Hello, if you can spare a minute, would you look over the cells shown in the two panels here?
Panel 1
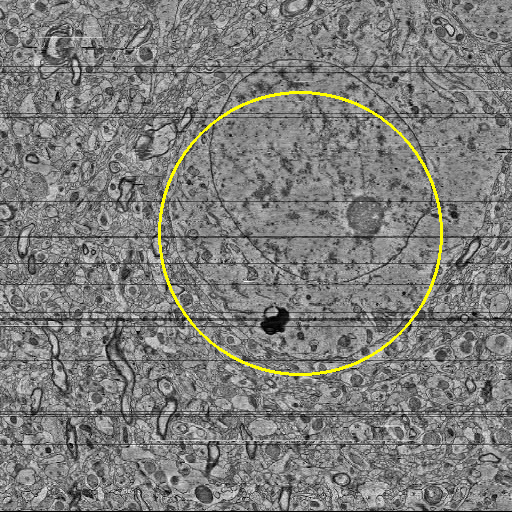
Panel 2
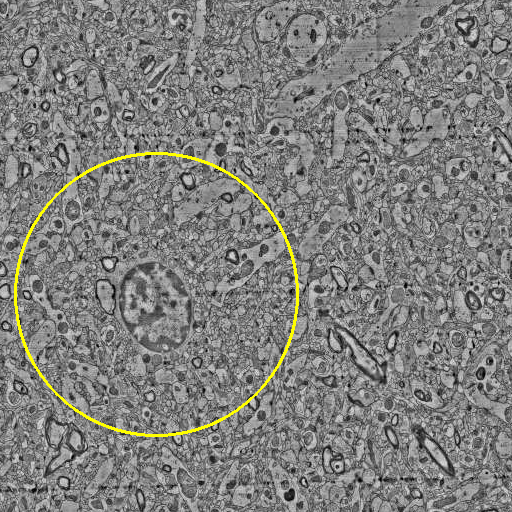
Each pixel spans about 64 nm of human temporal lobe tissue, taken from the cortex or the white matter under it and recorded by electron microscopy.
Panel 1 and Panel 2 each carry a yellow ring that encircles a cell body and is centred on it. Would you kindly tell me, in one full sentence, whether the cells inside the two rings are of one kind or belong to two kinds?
The cells at the centres of the rings in Panel 1 and Panel 2 belong to two kinds.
